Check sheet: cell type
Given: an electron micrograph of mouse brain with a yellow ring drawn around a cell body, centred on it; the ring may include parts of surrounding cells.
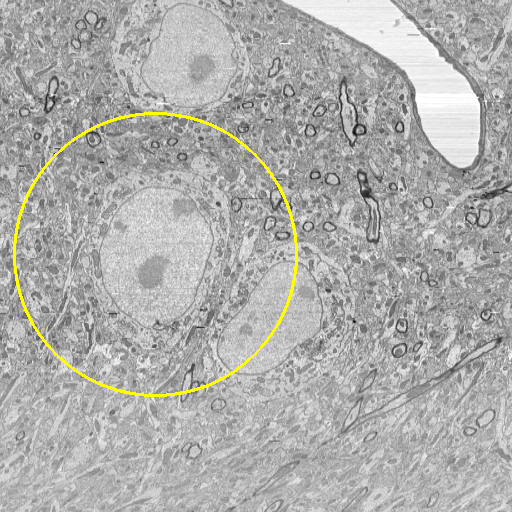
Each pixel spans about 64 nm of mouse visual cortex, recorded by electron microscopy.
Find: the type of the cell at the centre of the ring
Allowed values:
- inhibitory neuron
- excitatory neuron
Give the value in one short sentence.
Here the ringed cell is an excitatory neuron.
